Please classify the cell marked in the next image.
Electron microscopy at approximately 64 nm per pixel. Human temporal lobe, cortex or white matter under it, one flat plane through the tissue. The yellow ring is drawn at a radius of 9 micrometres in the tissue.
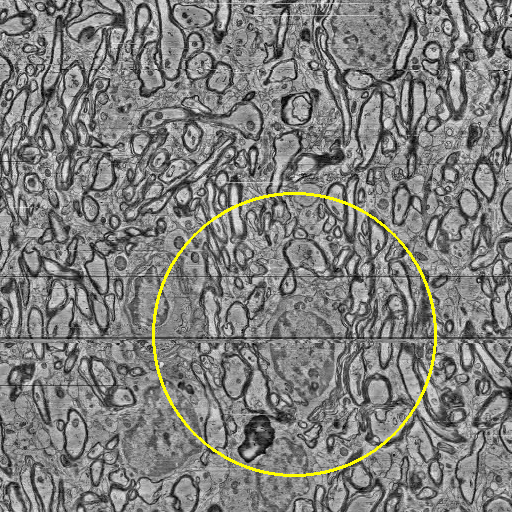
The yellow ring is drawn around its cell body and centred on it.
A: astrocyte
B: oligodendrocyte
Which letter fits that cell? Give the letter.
B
